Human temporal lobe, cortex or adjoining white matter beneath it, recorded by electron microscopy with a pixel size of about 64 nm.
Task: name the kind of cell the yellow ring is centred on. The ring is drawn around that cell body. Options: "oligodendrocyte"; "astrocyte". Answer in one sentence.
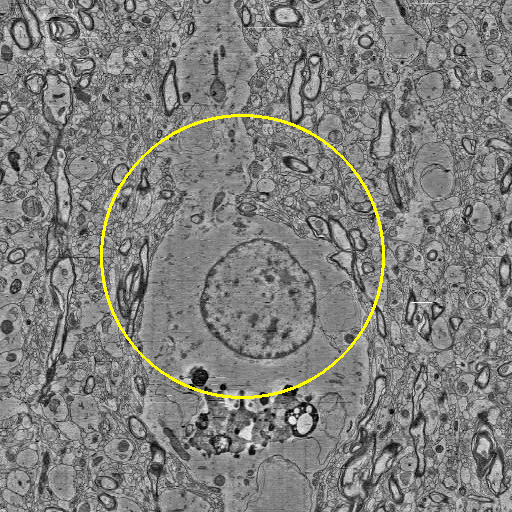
This cell body belongs to an astrocyte.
